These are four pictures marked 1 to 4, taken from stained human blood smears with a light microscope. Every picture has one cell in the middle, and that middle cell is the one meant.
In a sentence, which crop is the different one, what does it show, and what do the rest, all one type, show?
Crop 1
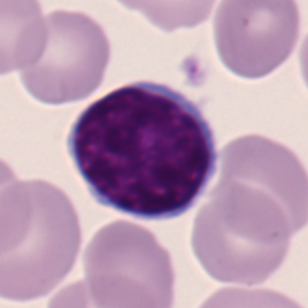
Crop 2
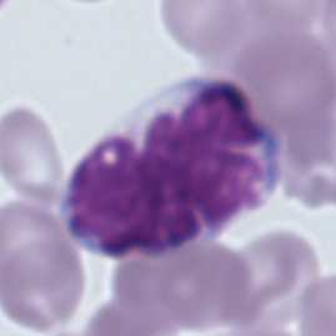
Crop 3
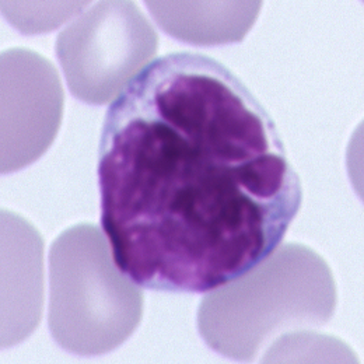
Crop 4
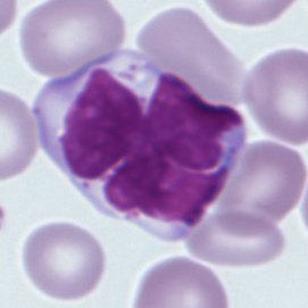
Crop 1 is not like the others: it is a typical lymphocyte, and they are large granular lymphocytes.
